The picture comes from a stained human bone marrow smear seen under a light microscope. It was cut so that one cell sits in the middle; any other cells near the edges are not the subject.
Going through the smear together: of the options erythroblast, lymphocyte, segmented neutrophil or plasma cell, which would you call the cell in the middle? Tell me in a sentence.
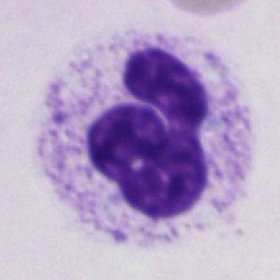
The cell in the exact centre of the crop is a segmented neutrophil.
